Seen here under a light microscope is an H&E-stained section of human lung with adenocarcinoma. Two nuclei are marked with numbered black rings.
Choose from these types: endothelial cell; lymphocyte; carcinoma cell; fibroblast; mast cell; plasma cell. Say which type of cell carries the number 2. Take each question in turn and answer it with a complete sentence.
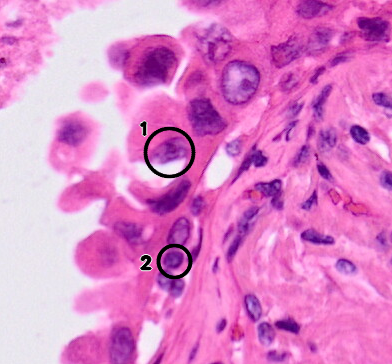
Cell number 2 in this section is a lymphocyte.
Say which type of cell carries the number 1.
The cell to which the number 1 is assigned is a carcinoma cell.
